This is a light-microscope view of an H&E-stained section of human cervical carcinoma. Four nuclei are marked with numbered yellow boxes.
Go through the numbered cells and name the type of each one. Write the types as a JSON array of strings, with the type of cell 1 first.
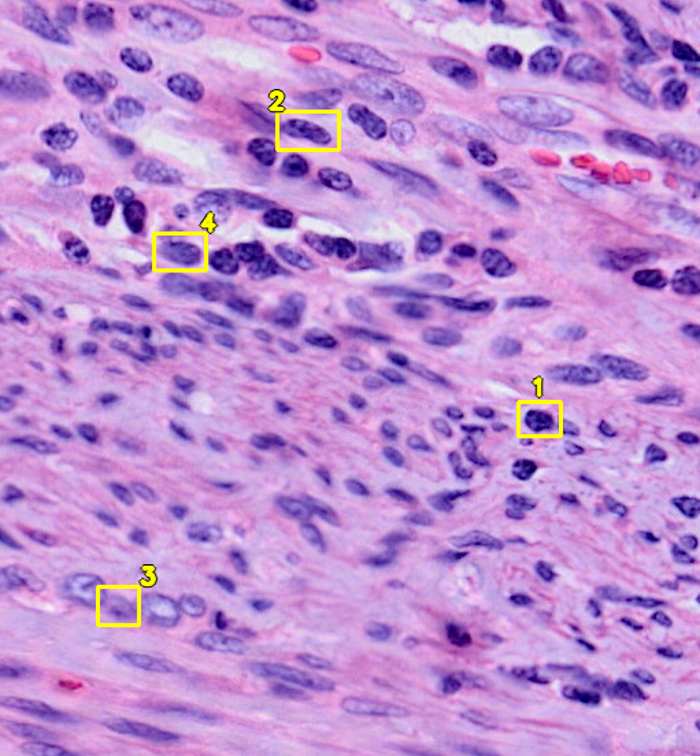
["lymphocyte", "lymphocyte", "endothelial cell", "lymphocyte"]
